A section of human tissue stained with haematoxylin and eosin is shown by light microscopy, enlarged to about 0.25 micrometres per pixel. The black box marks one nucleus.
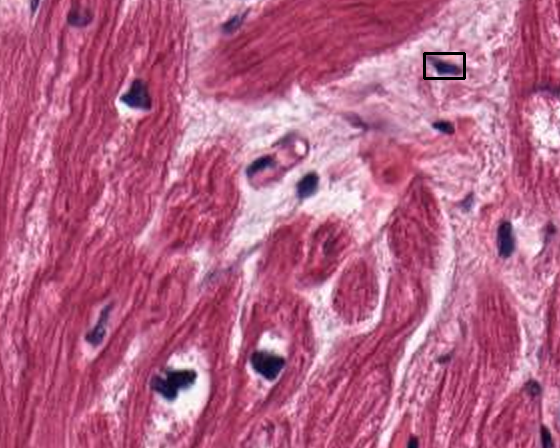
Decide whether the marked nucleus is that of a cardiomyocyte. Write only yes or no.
no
